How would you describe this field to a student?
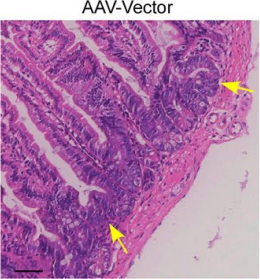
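This section of small intestine shows villi above a dense zone of crypts resting on a pink band of smooth muscle. The epithelium consists of closely packed cells with dark purple nuclei. The crypts appear crowded and irregular in outline near the muscle layer. The villus cores contain pale connective tissue. The muscle layer runs along the lower right edge of the field.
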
